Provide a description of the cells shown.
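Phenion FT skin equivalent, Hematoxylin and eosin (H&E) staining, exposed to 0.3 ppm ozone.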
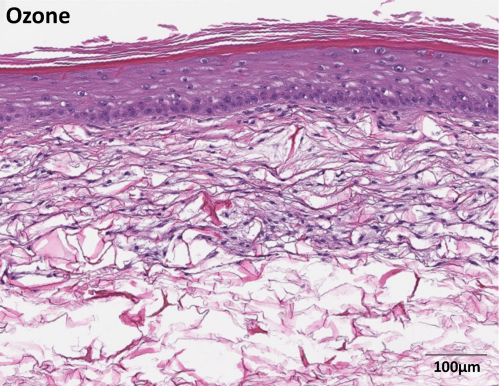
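A pink cornified layer of thin stacked sheets lies on top. Under it the nucleated epidermal band is broad, made of many rows of keratinocytes with round purple nuclei, many surrounded by pale cytoplasm. The base of the epidermis is fairly flat against the underlying dermis. The dermis below consists of a loose meshwork of pink fibres with scattered dark, elongated nuclei and many clear spaces.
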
